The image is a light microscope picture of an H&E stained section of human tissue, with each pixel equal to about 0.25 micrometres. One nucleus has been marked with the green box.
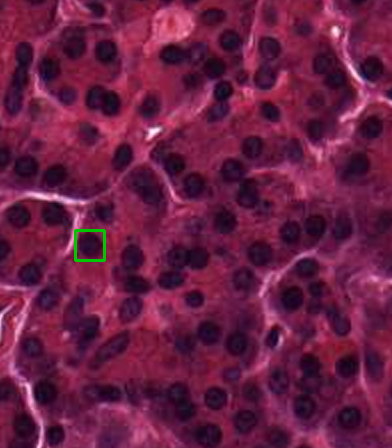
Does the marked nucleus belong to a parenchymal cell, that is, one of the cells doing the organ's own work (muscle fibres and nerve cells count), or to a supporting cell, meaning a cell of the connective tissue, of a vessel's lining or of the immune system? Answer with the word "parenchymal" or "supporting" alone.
parenchymal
